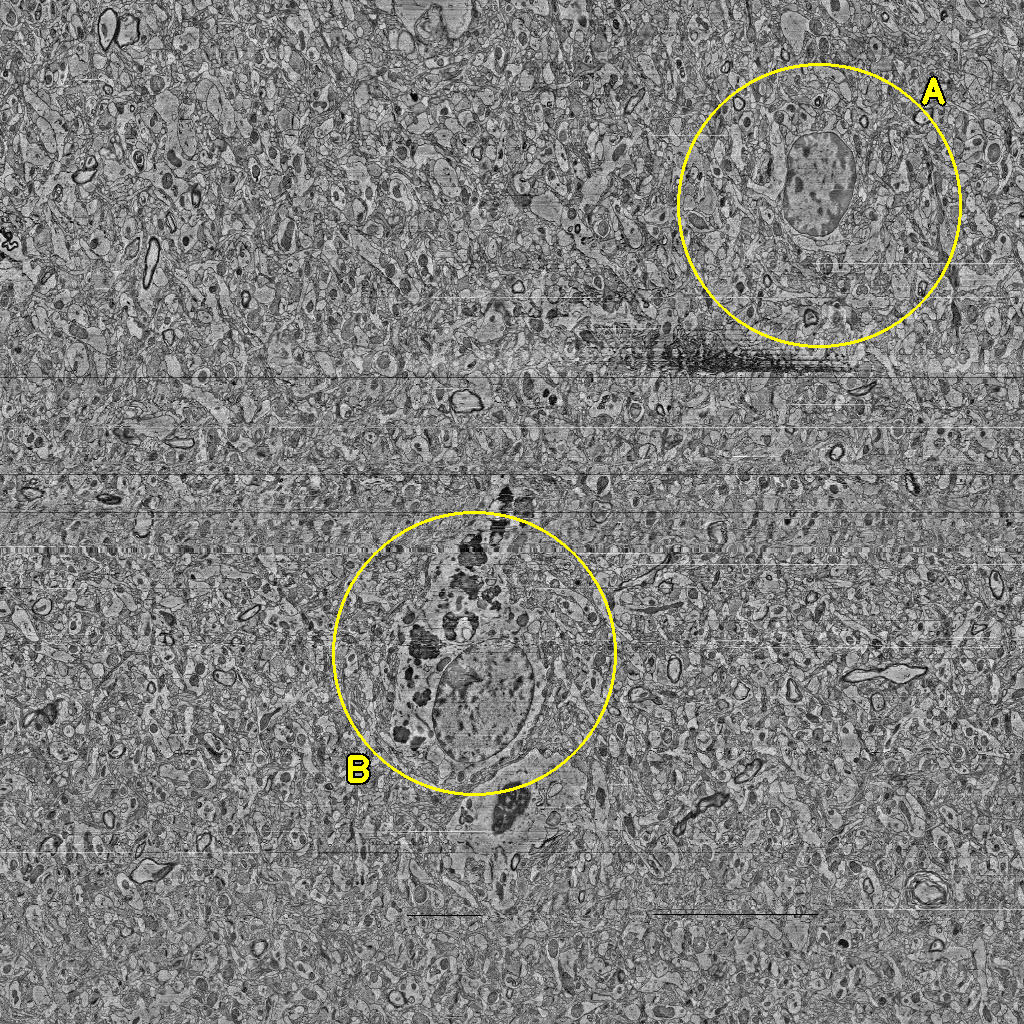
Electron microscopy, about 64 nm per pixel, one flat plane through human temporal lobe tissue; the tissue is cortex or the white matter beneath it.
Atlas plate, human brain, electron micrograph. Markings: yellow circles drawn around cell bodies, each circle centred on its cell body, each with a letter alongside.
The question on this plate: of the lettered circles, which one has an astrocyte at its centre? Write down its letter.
B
